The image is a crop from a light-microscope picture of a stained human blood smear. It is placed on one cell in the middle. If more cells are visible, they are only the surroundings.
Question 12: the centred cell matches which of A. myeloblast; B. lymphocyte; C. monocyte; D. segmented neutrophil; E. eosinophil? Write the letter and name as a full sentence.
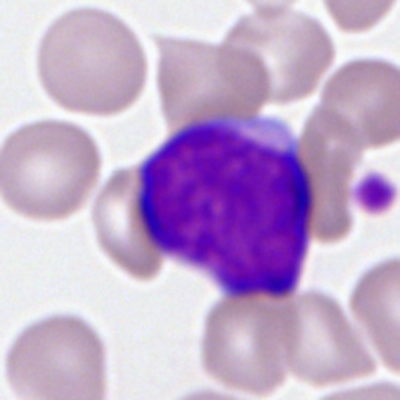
The cell centred in the crop is a myeloblast, and the correct option is thus A.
